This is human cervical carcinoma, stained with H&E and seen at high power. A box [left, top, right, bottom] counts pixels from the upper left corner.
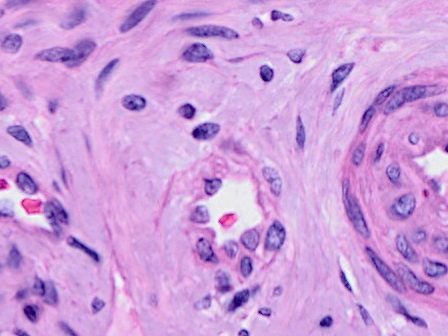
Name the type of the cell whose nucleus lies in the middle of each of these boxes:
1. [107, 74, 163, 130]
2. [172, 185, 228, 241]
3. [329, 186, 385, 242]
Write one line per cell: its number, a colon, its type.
1: fibroblast
2: endothelial cell
3: smooth muscle cell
